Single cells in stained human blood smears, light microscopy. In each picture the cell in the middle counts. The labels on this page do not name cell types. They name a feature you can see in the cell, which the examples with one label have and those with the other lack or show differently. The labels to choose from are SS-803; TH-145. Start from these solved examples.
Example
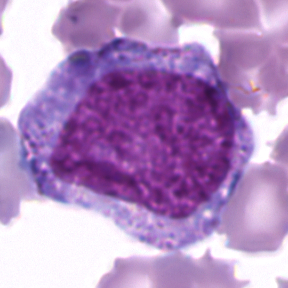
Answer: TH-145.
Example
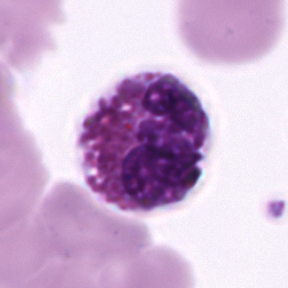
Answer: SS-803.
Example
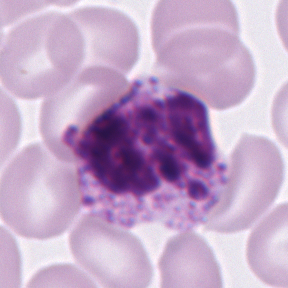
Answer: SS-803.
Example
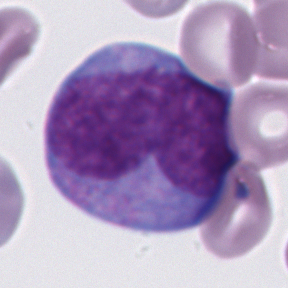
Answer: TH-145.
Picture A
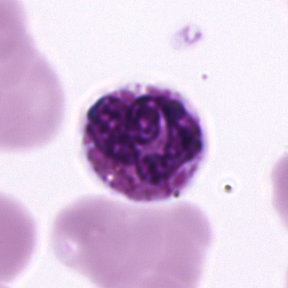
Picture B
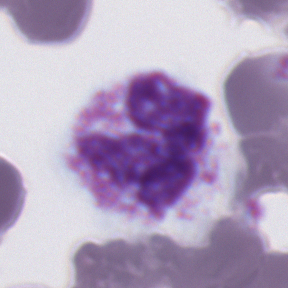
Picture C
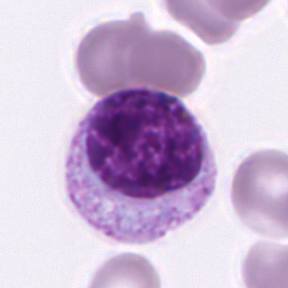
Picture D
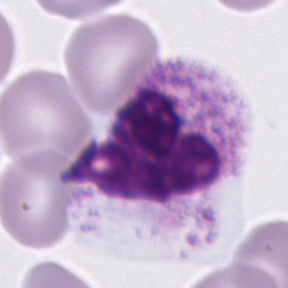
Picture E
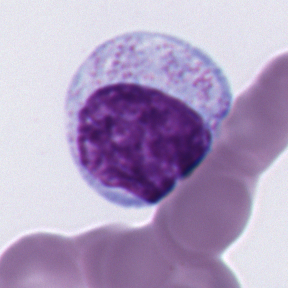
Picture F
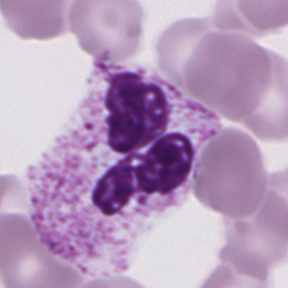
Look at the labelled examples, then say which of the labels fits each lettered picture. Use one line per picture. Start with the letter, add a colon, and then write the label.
A: TH-145.
B: SS-803.
C: TH-145.
D: SS-803.
E: TH-145.
F: SS-803.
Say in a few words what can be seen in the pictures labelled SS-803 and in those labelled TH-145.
SS-803, coarse or large granules; TH-145, fine or small granules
